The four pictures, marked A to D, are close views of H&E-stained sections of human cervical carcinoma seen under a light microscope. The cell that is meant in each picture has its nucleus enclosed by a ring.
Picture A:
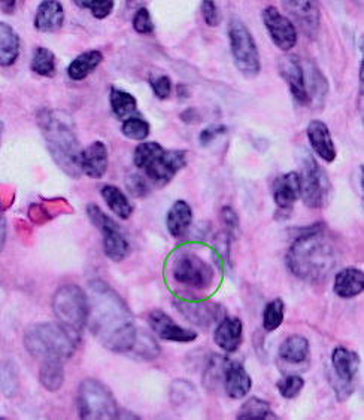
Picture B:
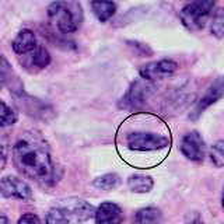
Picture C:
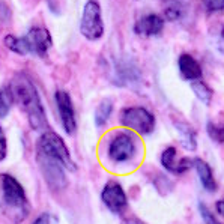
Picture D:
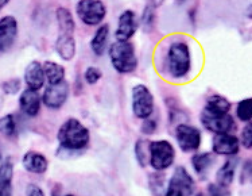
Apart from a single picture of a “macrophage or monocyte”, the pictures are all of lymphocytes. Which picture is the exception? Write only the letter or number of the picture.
A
